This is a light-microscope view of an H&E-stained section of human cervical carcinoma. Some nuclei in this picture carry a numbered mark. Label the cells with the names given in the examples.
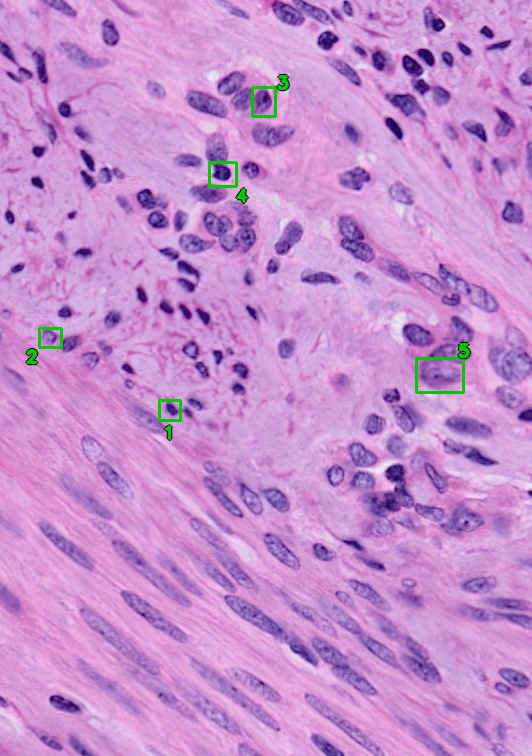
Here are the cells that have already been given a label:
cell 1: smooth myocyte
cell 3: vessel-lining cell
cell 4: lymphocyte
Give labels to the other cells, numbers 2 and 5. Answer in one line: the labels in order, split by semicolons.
smooth myocyte; vessel-lining cell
